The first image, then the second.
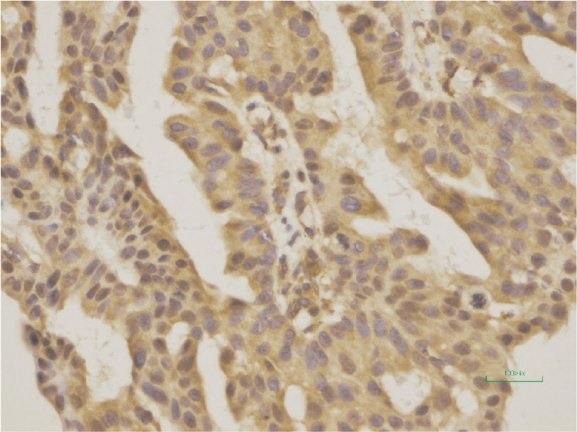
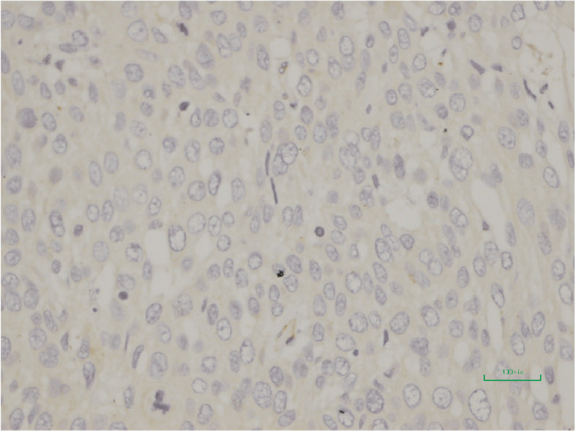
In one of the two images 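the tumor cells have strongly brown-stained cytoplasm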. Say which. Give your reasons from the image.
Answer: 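Second image: the tumor cells are pale grey-beige with blue nuclei and no distinct brown cytoplasm. So: the first image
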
